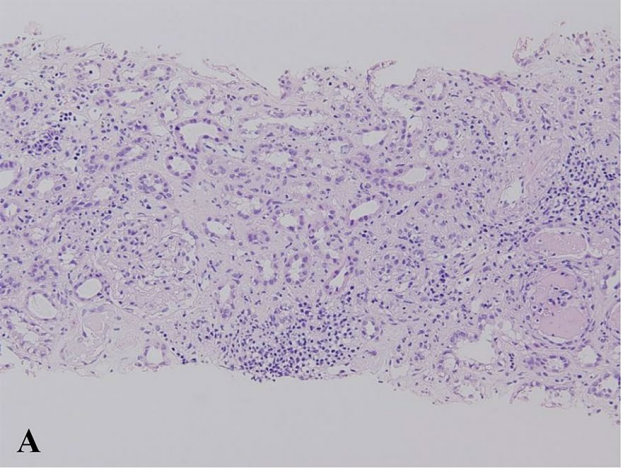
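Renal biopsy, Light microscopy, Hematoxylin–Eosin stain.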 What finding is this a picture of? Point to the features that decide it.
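Lymphocytic infiltrate in the interstitium. Dense clusters of small dark round nuclei lie between the tubules. The clusters sit in the tissue outside the tubules rather than within them.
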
